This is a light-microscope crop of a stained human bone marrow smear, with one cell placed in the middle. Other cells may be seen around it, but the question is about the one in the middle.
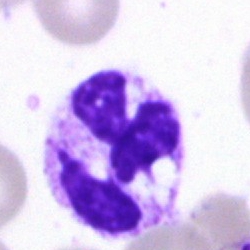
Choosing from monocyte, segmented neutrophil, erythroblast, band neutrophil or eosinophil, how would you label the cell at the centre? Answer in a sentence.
This crop's central cell is a segmented neutrophil.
